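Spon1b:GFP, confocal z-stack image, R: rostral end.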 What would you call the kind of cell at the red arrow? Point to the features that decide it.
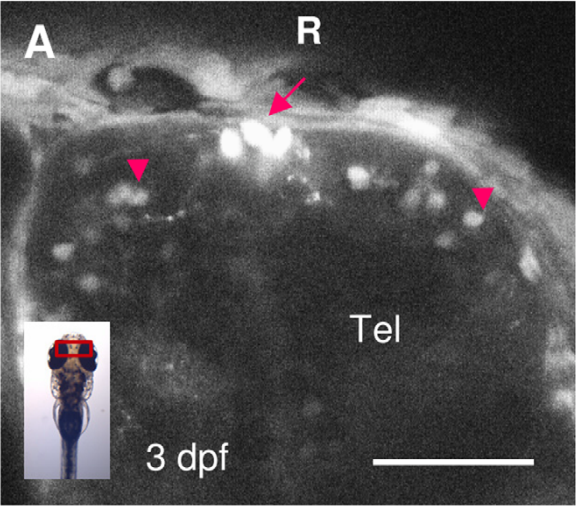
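A tight cluster of a few bright oval cells lies at the rostral edge, on the midline. The cluster is brighter than the scattered cells on either side. The answer: oval midline cells.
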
